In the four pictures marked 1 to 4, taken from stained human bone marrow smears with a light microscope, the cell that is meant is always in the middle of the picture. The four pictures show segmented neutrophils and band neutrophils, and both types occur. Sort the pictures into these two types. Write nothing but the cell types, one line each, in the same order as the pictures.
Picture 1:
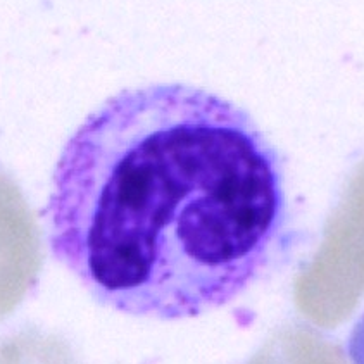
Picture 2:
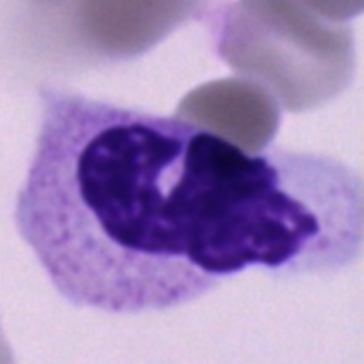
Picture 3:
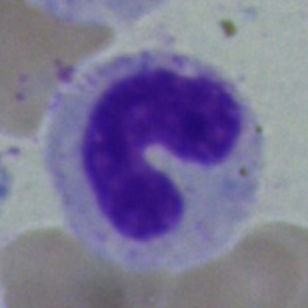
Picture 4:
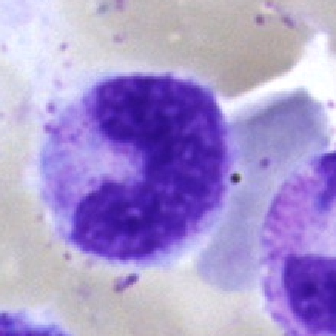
band neutrophil
segmented neutrophil
band neutrophil
band neutrophil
